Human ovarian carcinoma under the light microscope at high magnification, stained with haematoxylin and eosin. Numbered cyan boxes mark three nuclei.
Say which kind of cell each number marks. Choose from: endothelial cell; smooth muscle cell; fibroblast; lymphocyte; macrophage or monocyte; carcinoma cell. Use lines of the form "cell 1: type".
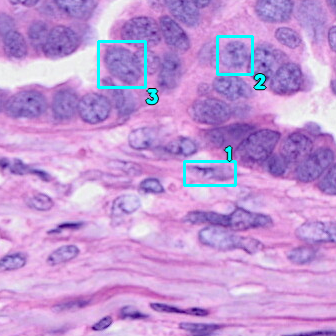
cell 1: fibroblast
cell 2: carcinoma cell
cell 3: carcinoma cell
